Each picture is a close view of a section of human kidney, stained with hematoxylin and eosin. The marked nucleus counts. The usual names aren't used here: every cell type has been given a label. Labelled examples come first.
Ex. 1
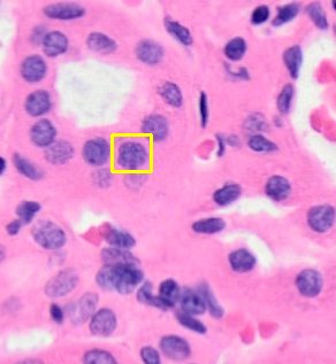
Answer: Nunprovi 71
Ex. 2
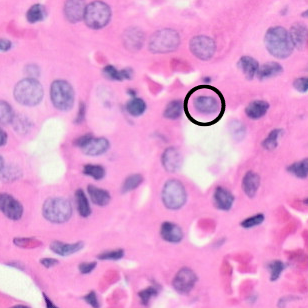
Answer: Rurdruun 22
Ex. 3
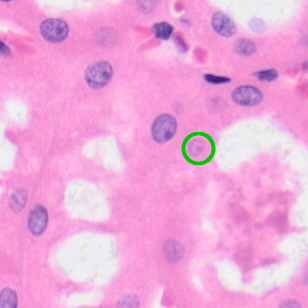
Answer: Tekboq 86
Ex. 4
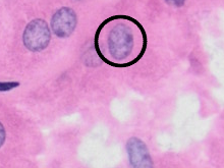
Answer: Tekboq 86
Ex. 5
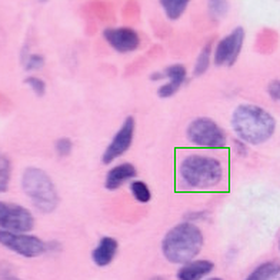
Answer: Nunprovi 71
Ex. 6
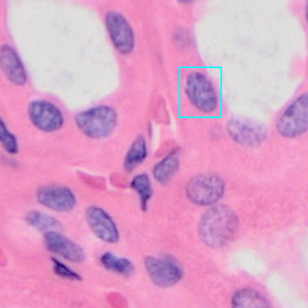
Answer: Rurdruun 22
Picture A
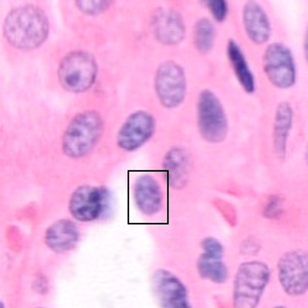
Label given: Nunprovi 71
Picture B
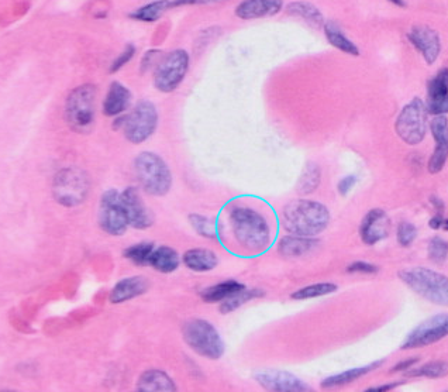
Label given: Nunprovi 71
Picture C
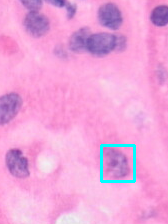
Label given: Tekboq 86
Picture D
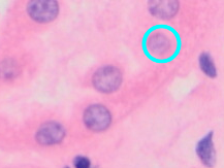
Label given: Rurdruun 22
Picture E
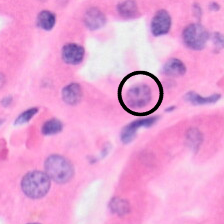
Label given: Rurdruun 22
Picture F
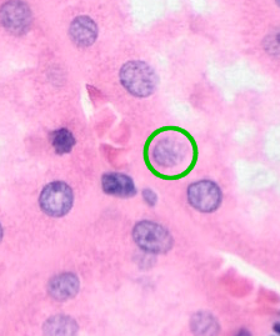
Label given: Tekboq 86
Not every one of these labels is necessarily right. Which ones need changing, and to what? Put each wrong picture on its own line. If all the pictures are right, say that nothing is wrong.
A: change Nunprovi 71 to Rurdruun 22
D: change Rurdruun 22 to Tekboq 86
